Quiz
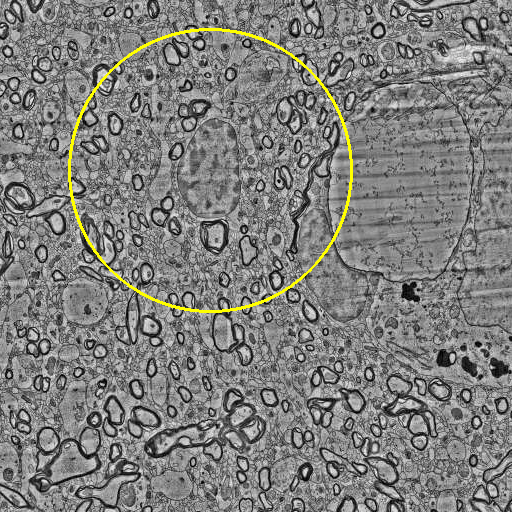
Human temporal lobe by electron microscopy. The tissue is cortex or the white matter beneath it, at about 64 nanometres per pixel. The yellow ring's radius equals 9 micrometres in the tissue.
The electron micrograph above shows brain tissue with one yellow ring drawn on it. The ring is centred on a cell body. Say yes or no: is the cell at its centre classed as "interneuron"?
no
